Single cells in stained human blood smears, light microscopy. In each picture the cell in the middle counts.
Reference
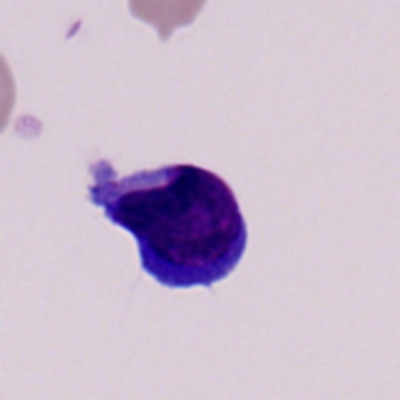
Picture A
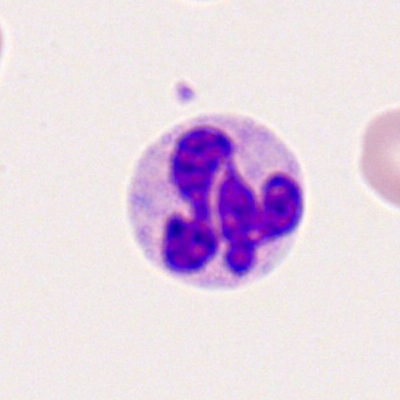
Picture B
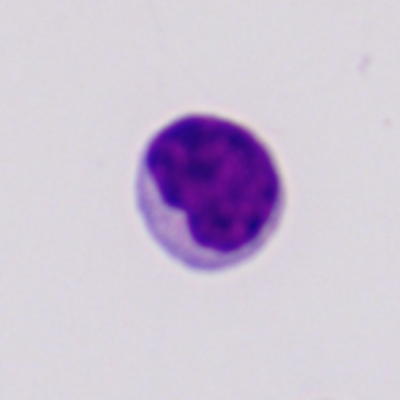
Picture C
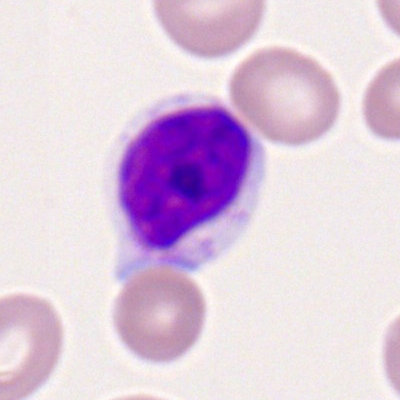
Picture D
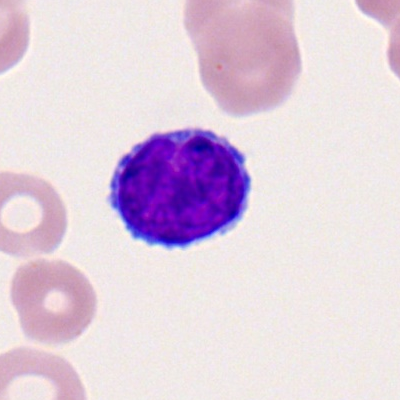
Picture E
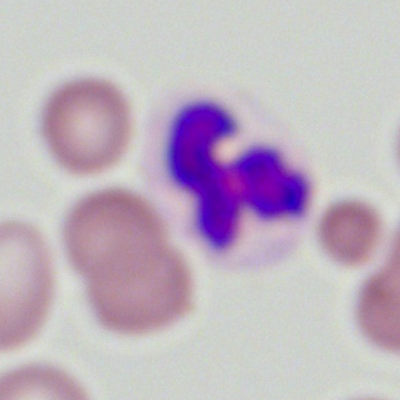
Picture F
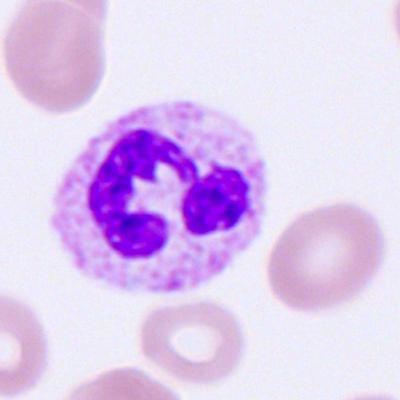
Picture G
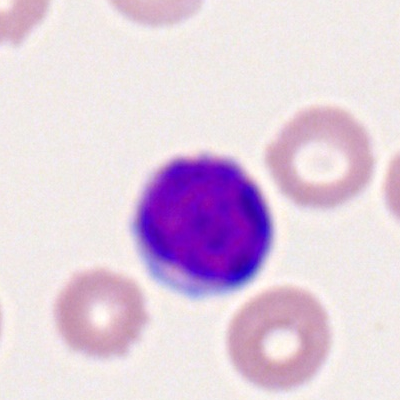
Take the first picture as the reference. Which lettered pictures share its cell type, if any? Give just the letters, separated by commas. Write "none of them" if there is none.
B, C, D, G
